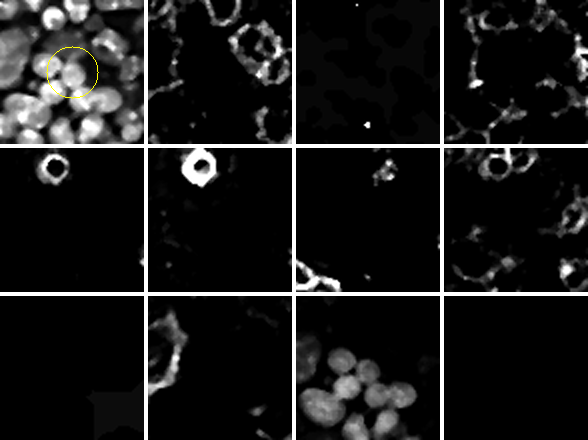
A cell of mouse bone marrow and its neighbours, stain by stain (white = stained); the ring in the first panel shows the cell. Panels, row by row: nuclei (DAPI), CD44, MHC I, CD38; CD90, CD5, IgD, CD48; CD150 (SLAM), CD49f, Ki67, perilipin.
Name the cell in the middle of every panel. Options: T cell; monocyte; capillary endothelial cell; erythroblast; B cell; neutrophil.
erythroblast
